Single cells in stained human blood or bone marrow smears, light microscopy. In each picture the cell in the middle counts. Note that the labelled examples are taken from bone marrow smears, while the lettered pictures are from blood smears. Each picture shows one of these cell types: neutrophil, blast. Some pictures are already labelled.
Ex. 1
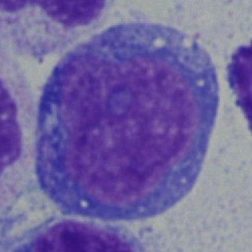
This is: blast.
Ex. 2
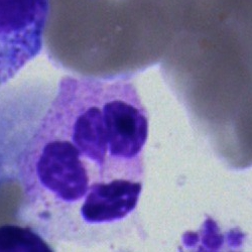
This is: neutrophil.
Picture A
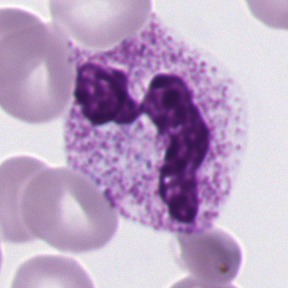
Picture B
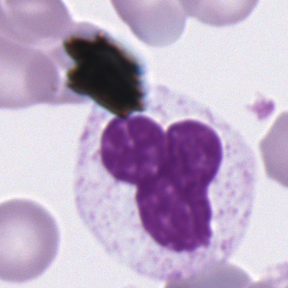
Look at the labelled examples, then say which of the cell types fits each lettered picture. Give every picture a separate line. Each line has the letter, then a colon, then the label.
A: neutrophil.
B: neutrophil.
